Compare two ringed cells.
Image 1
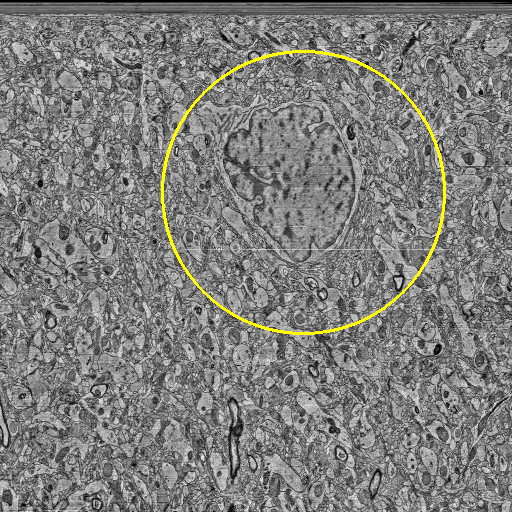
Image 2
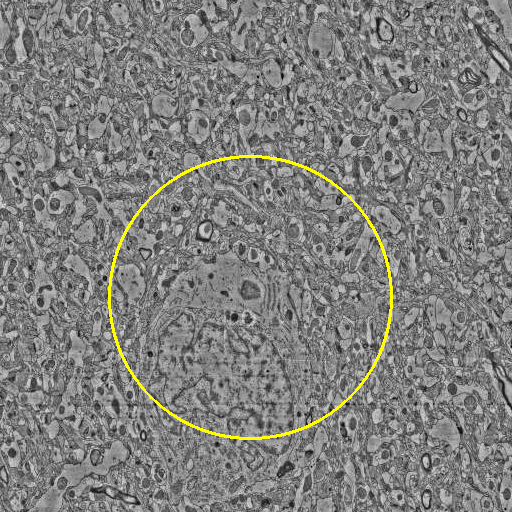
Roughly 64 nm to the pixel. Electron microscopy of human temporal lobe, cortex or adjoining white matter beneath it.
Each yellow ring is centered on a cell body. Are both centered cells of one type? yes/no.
yes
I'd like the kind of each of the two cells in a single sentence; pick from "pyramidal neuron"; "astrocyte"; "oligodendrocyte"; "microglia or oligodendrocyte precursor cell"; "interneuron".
Each of the two cells is a microglial cell or oligodendrocyte precursor cell.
